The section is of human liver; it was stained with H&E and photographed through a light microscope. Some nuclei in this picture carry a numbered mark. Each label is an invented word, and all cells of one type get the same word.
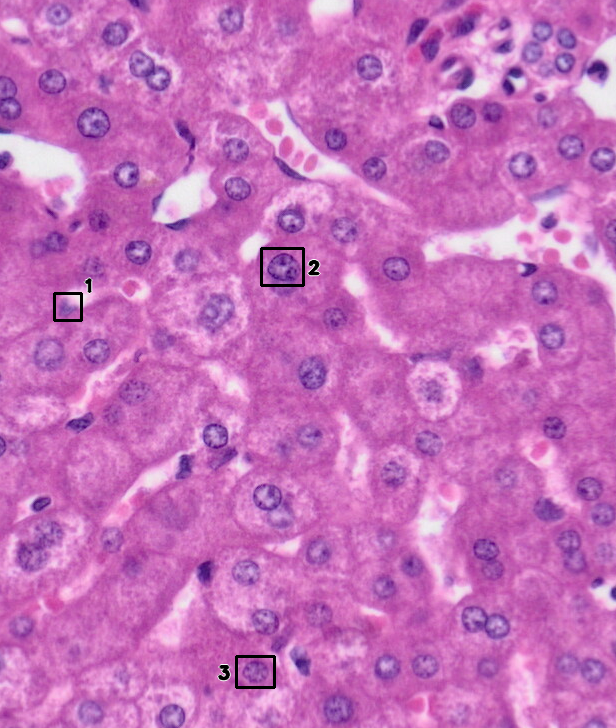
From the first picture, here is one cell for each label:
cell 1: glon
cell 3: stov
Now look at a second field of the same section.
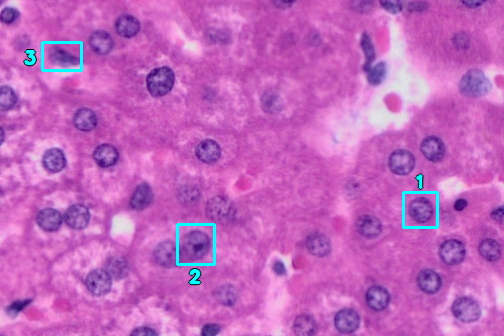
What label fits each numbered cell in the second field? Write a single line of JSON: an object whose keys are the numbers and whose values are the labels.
{"1": "stov", "2": "stov", "3": "glon"}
